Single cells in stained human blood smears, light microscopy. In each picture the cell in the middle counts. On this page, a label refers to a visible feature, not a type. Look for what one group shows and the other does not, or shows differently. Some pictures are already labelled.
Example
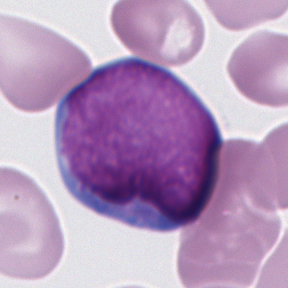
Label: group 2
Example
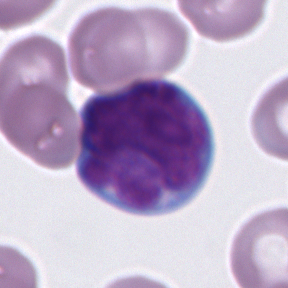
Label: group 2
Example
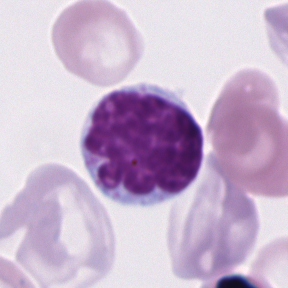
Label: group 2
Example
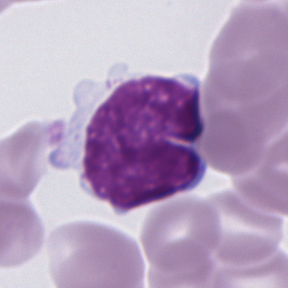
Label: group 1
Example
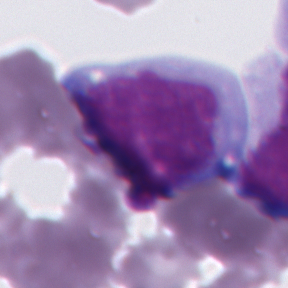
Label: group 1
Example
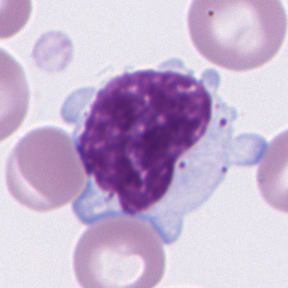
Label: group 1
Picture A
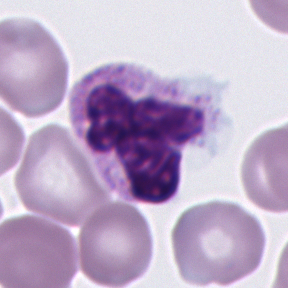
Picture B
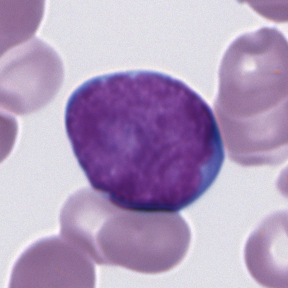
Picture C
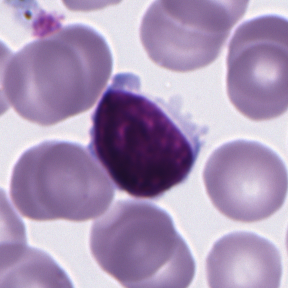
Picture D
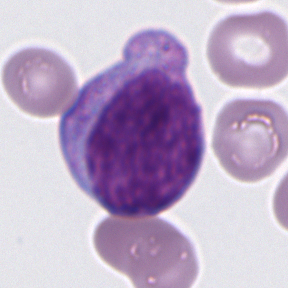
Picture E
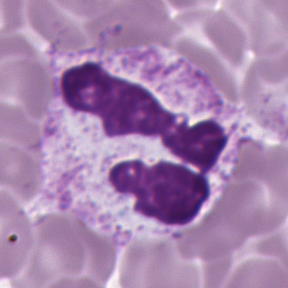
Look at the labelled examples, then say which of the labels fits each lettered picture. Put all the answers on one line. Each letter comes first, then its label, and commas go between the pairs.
A group 1, B group 2, C group 1, D group 1, E group 1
